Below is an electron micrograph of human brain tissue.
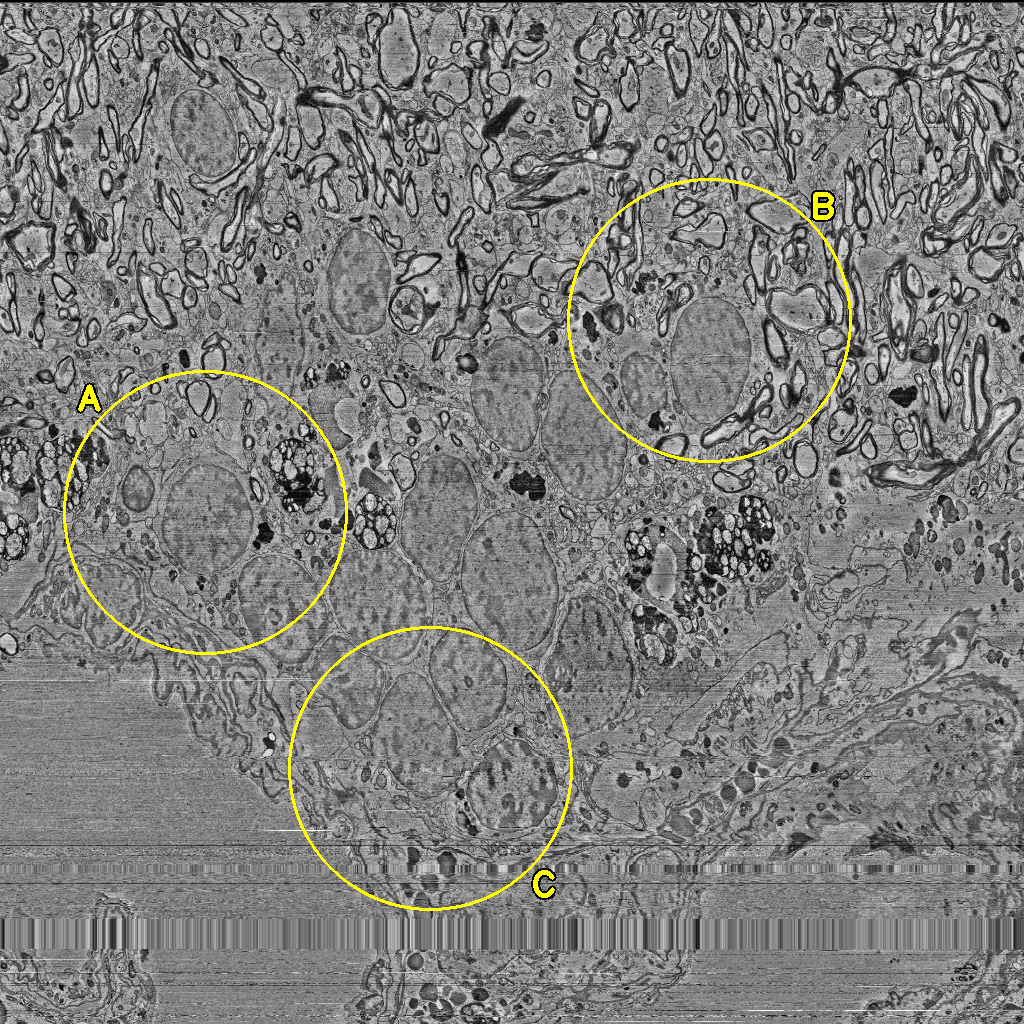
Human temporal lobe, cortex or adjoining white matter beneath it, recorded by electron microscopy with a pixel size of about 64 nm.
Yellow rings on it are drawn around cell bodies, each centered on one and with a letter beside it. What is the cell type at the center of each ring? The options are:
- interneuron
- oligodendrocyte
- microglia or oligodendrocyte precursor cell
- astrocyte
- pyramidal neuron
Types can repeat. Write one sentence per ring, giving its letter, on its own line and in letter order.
At the center of ring A is an oligodendrocyte.
At the center of ring B is an oligodendrocyte.
At the center of ring C is an oligodendrocyte.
